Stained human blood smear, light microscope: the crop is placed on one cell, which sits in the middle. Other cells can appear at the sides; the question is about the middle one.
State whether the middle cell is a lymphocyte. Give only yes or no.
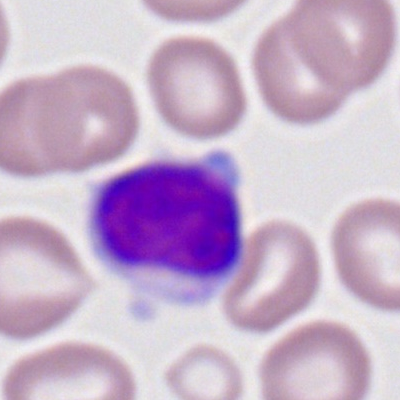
yes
